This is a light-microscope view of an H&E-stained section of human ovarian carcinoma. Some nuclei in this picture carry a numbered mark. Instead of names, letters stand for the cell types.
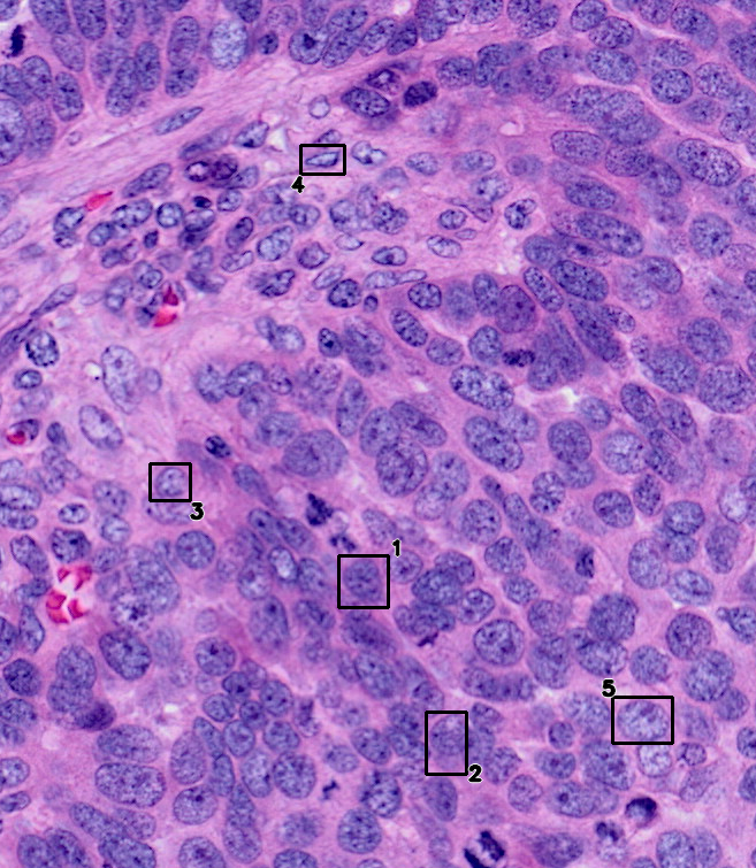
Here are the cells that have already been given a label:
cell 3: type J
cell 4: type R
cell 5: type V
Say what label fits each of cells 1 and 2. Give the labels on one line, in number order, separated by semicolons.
type V; type V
